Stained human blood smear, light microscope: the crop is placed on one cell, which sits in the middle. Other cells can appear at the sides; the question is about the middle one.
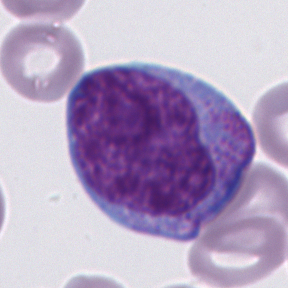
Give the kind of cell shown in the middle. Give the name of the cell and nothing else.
promyelocyte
